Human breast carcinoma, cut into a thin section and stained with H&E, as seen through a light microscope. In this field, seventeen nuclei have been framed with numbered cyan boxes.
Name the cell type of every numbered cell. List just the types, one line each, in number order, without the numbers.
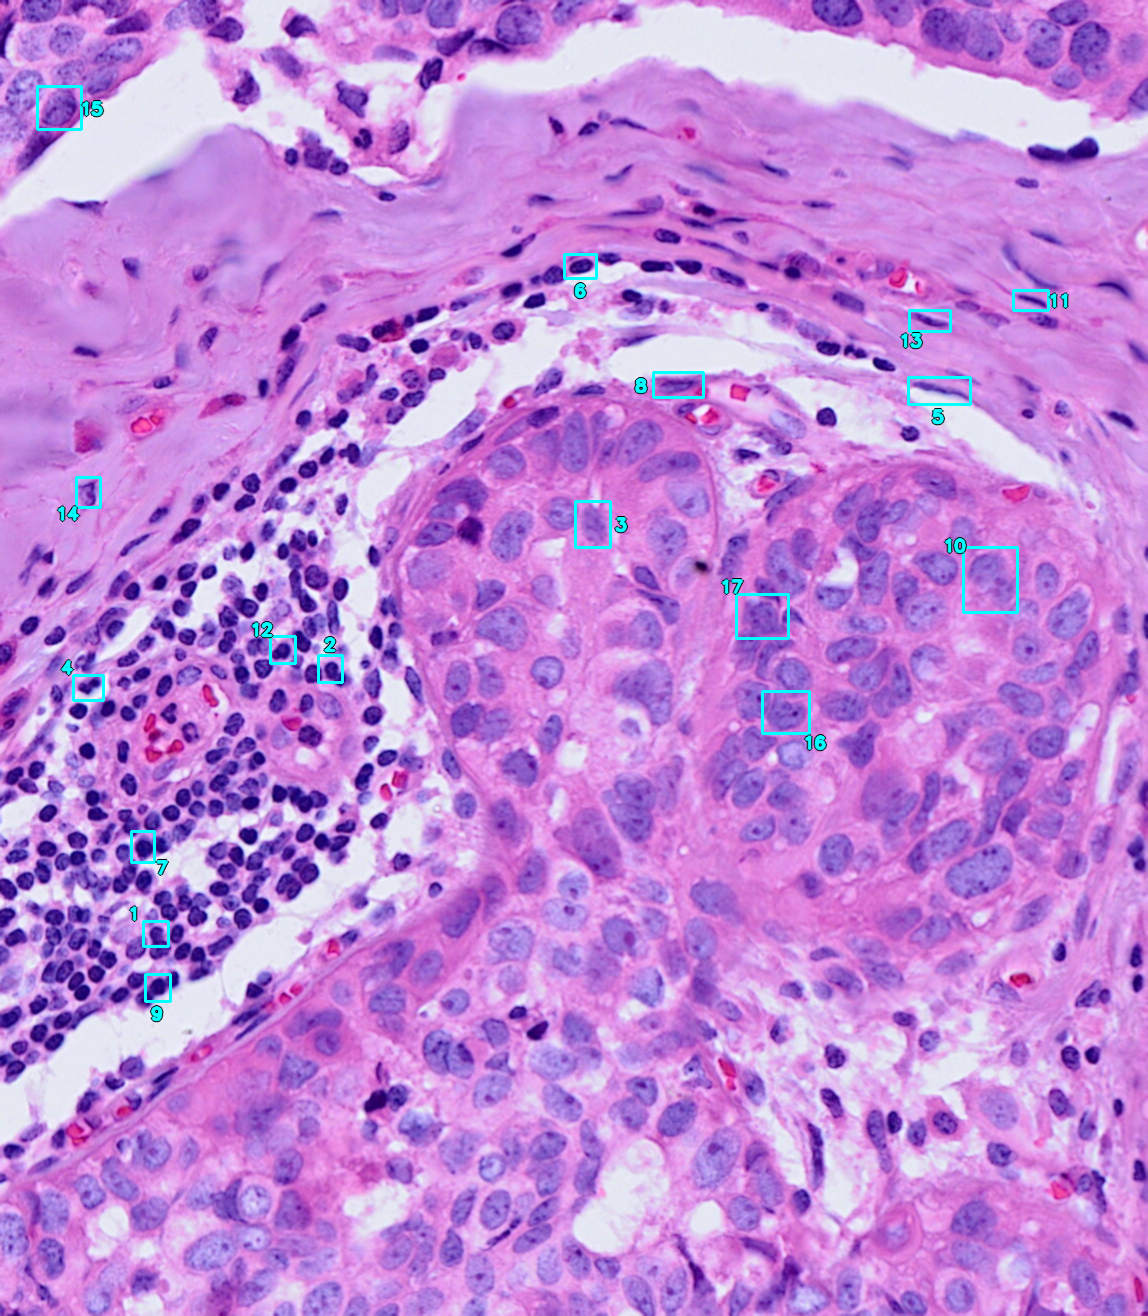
lymphocyte
lymphocyte
carcinoma cell
lymphocyte
fibroblast
lymphocyte
lymphocyte
endothelial cell
lymphocyte
carcinoma cell
fibroblast
lymphocyte
fibroblast
fibroblast
carcinoma cell
carcinoma cell
carcinoma cell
